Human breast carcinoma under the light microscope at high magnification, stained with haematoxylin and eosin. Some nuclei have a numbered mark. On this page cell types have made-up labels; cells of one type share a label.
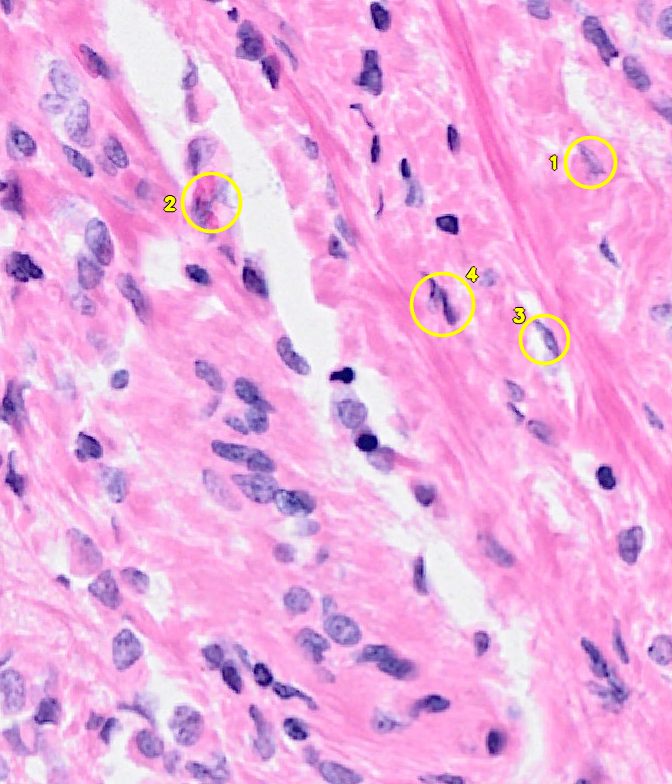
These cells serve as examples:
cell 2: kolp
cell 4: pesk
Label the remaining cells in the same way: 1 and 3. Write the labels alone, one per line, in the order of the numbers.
pesk
pesk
